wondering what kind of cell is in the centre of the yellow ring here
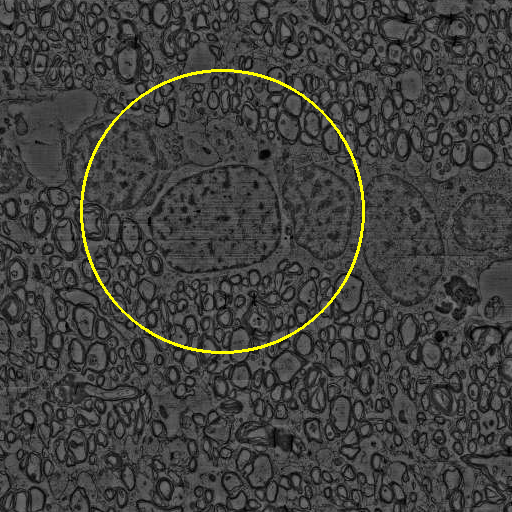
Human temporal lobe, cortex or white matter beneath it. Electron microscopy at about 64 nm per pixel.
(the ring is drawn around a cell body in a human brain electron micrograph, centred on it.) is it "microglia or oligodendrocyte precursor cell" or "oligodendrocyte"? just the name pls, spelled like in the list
microglia or oligodendrocyte precursor cell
